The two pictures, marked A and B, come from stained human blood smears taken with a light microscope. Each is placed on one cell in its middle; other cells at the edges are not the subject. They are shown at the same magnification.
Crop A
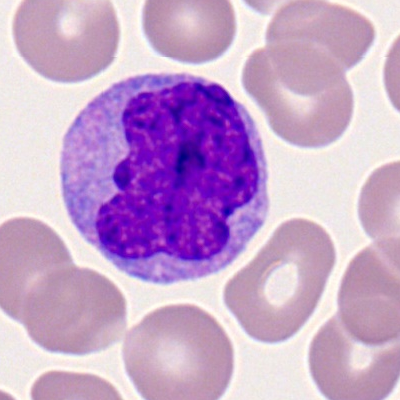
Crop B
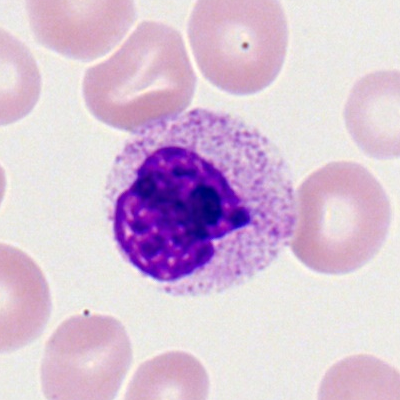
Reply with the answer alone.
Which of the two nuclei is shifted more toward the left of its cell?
B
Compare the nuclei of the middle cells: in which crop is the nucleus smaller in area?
B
